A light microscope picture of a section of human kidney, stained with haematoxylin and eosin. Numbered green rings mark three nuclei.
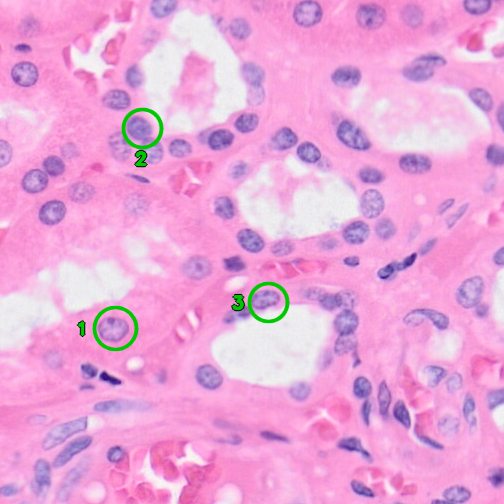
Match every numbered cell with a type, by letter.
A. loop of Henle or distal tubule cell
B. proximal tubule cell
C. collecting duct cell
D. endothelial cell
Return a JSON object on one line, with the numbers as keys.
{"1": "B", "2": "C", "3": "C"}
